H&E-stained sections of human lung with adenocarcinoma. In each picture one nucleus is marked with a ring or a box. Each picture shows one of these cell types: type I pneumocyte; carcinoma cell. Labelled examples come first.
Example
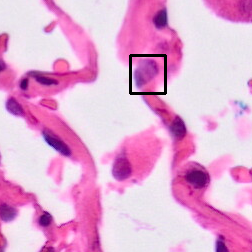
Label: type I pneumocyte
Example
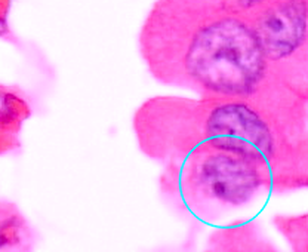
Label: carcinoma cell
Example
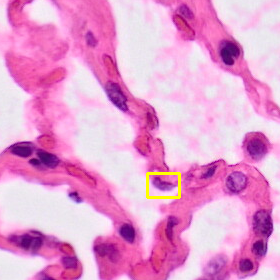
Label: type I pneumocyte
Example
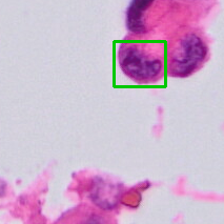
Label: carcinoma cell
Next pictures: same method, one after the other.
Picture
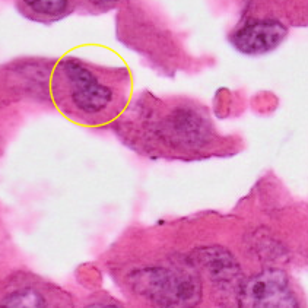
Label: carcinoma cell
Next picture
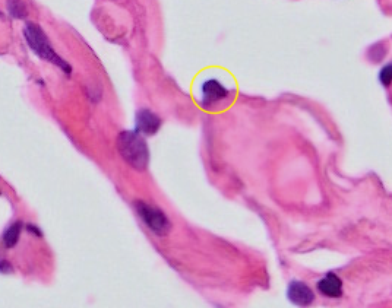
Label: type I pneumocyte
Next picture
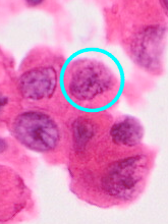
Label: carcinoma cell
